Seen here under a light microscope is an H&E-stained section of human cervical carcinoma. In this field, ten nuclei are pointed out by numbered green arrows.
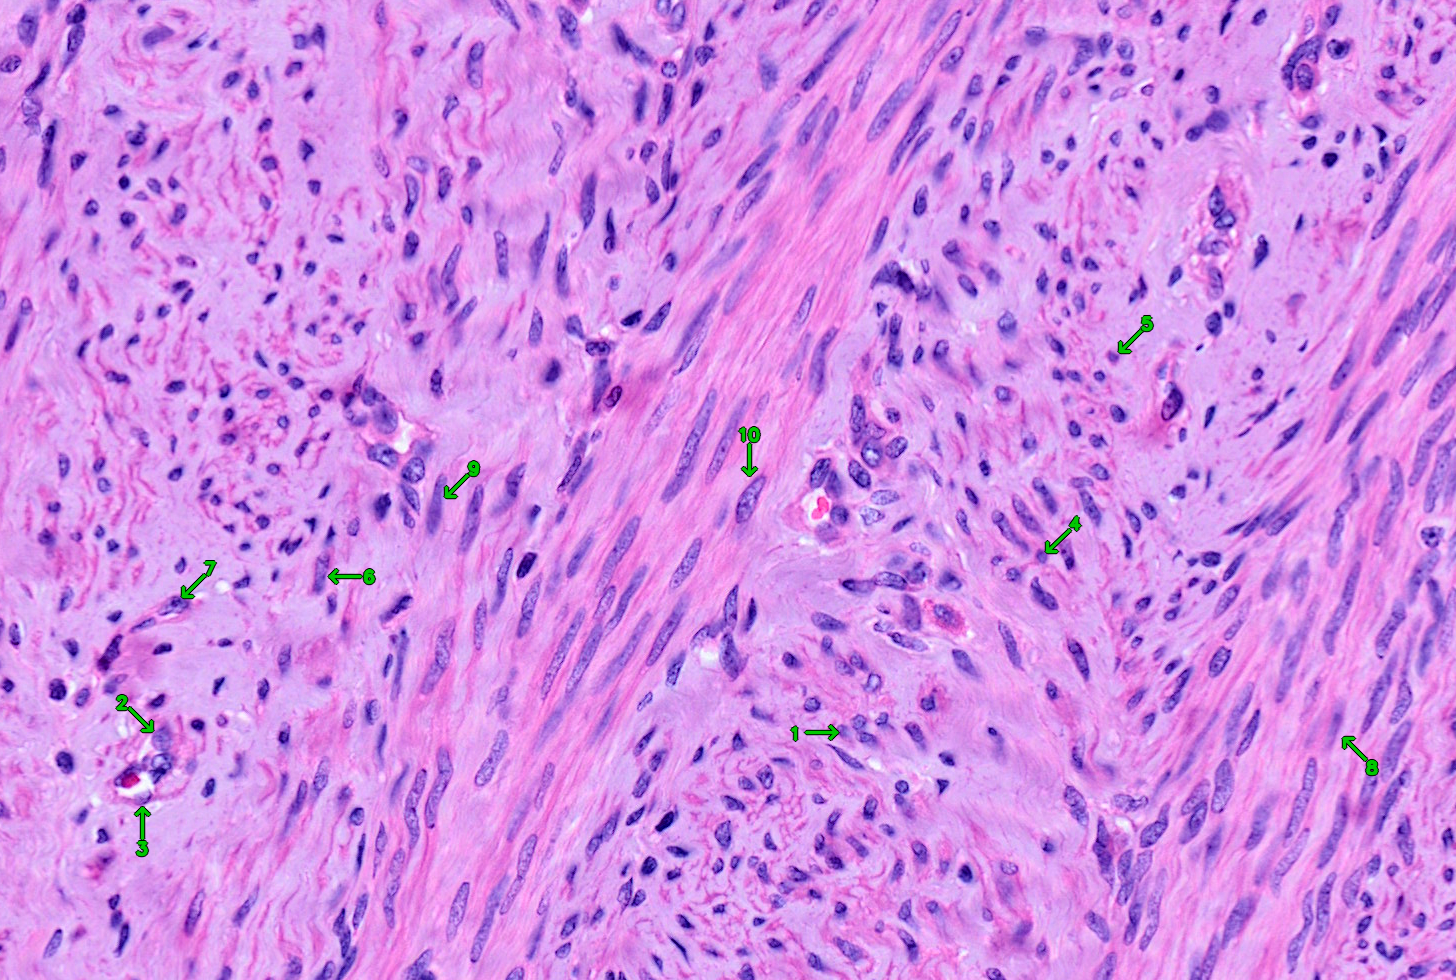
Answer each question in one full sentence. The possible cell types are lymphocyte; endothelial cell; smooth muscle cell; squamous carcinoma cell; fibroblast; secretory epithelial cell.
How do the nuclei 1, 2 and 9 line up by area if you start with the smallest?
Smallest first, the nuclei run 1, 2, 9.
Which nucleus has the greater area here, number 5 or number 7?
It is nucleus 7, which covers about 3 times the area of nucleus 5.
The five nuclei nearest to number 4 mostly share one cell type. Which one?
Smooth muscle cells account for more than half of the five nuclei nearest to number 4.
